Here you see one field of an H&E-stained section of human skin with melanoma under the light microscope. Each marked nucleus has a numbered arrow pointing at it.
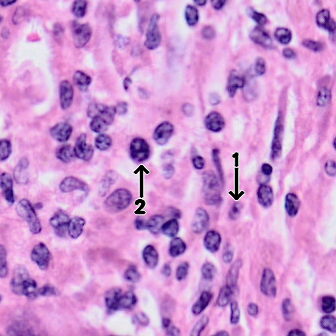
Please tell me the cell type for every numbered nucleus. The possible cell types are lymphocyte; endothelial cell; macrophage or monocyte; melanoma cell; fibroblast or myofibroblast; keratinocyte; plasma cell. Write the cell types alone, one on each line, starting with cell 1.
lymphocyte
plasma cell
